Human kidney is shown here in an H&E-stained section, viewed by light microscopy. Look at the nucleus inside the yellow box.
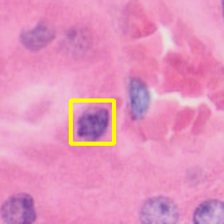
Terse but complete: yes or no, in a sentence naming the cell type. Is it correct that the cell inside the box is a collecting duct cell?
No, kindly revise that, as the cell inside the box is a proximal tubule cell rather than a collecting duct cell.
